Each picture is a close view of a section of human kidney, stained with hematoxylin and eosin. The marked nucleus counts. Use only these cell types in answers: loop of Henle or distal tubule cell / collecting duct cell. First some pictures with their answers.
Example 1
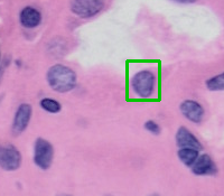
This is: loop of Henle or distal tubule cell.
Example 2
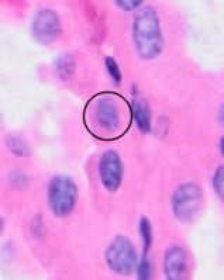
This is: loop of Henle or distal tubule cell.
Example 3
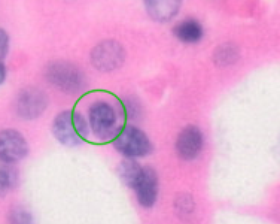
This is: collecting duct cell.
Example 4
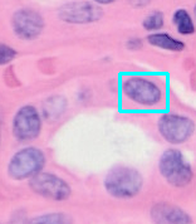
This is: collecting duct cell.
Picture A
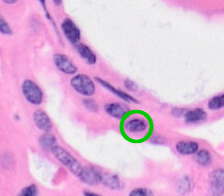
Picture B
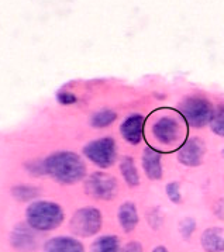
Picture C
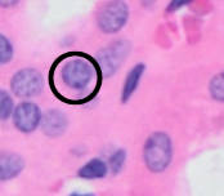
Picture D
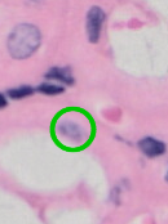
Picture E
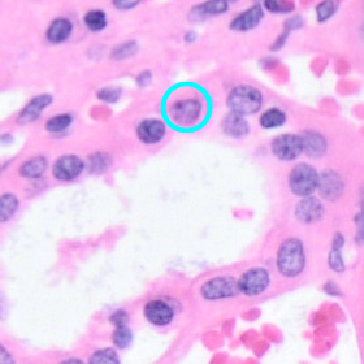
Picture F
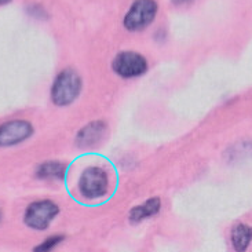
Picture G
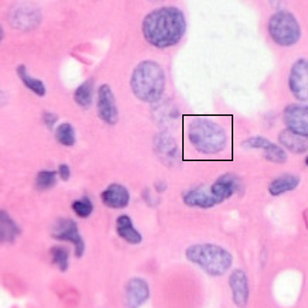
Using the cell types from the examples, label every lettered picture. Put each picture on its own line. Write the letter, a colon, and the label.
A: collecting duct cell.
B: collecting duct cell.
C: collecting duct cell.
D: loop of Henle or distal tubule cell.
E: collecting duct cell.
F: loop of Henle or distal tubule cell.
G: collecting duct cell.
